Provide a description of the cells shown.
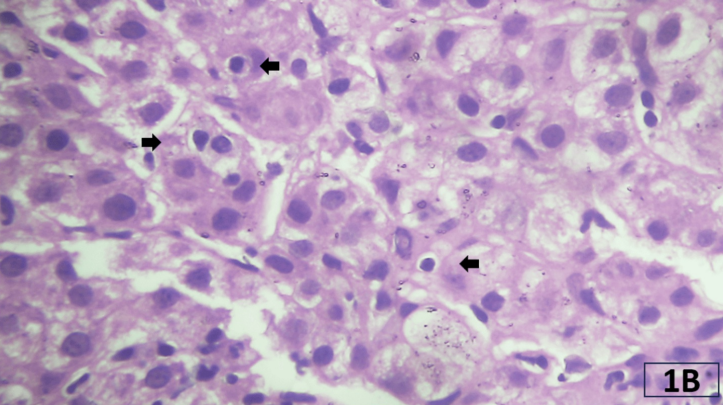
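This is liver parenchyma made of large polygonal hepatocytes with round central nuclei and pink cytoplasm. Several hepatocytes contain small, dark, round lymphocytes lying within their cytoplasm, each surrounded by a thin clear halo, a picture of emperipolesis. Other hepatocytes are enlarged and rounded, with pale, clear, wispy cytoplasm, showing ballooning degeneration. The normal orderly cords are irregular, with narrow clear spaces between the cells, and a few elongated dark nuclei lie along these spaces.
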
